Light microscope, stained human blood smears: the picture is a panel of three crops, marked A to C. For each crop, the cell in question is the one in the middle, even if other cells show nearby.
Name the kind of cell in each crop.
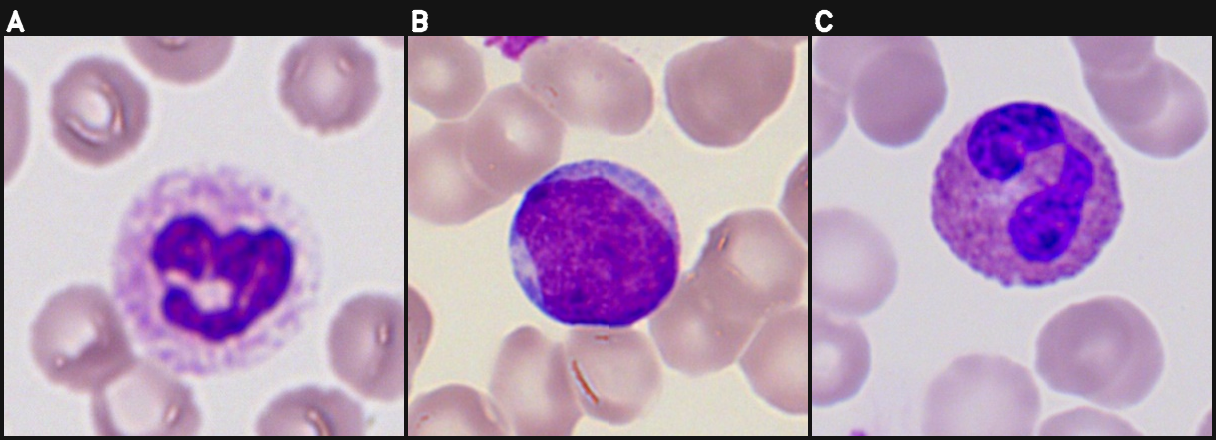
A: neutrophil
B: blast
C: eosinophil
